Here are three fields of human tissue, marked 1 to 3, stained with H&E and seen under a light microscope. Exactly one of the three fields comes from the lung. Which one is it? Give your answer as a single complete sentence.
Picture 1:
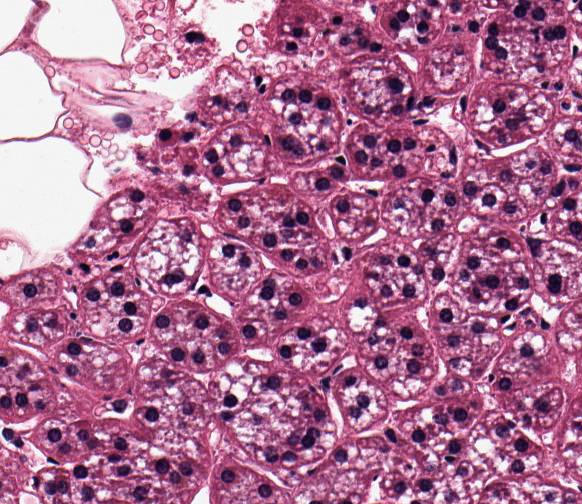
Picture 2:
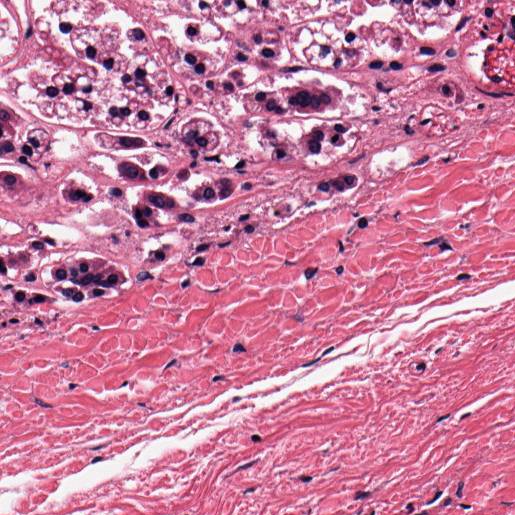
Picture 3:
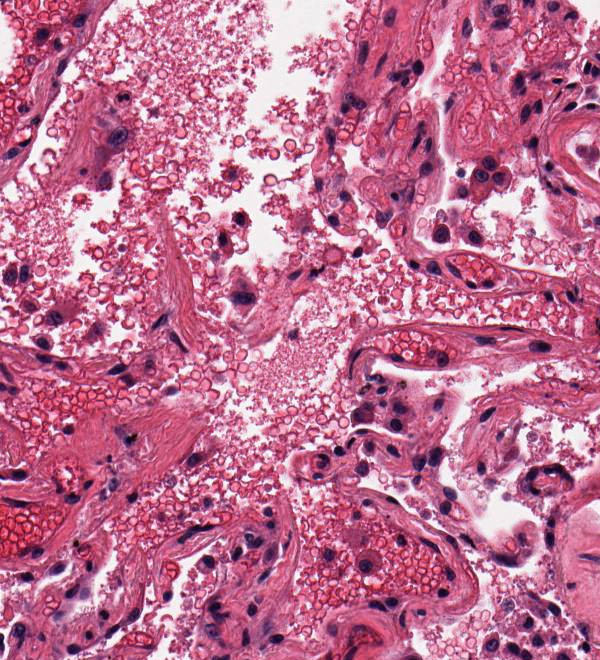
Picture 3 comes from the lung.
